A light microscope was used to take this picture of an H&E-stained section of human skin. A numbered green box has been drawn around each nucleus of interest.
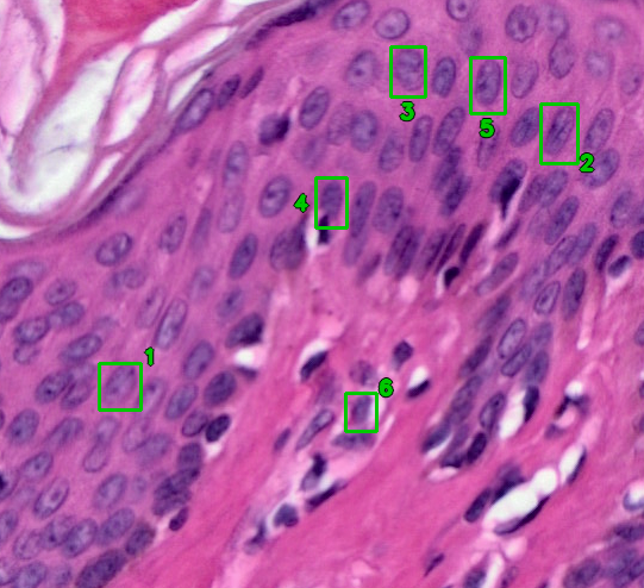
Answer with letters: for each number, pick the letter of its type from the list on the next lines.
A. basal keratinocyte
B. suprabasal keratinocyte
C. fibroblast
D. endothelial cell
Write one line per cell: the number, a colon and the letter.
1: B
2: B
3: B
4: A
5: B
6: D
